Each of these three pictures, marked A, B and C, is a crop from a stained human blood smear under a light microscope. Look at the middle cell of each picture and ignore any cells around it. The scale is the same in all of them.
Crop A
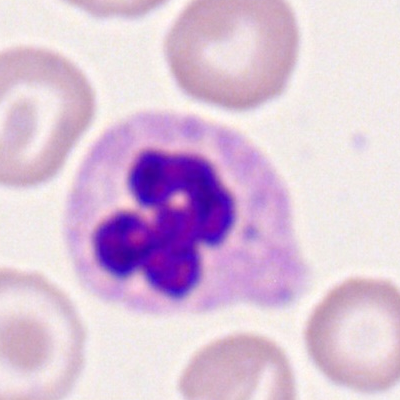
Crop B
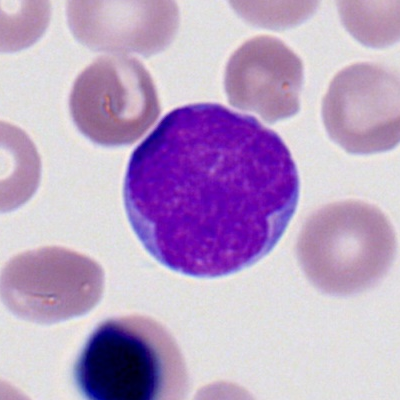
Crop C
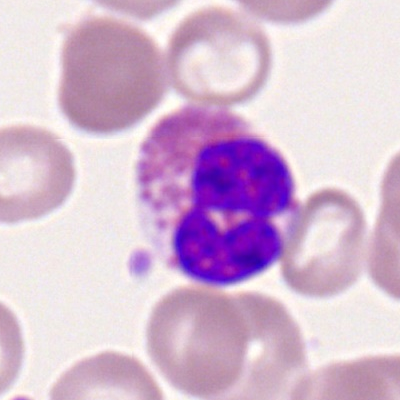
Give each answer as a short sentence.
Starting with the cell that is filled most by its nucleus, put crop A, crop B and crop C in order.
From the most filled to the least, the order is B, C, A.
